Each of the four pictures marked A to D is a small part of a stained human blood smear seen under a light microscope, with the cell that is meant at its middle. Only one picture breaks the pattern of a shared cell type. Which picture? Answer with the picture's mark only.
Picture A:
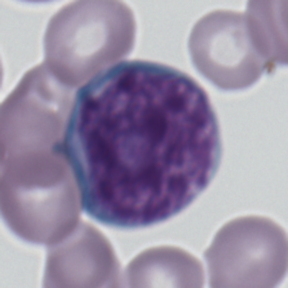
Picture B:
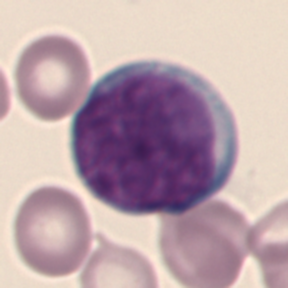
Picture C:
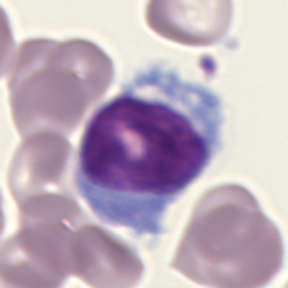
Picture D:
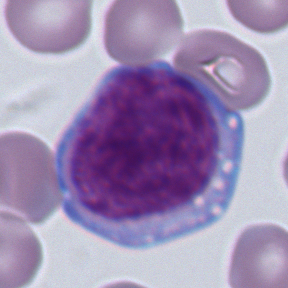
C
